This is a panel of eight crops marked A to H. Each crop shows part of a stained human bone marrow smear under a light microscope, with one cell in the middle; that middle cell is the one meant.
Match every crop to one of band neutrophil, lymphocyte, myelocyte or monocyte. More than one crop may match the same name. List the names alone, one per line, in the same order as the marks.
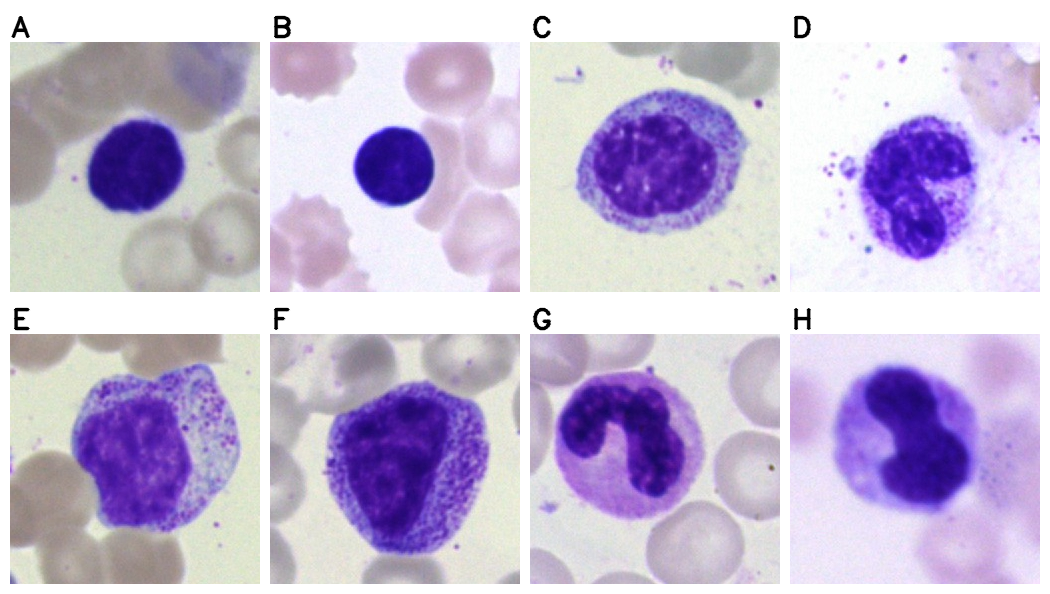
lymphocyte
lymphocyte
myelocyte
band neutrophil
myelocyte
myelocyte
band neutrophil
band neutrophil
